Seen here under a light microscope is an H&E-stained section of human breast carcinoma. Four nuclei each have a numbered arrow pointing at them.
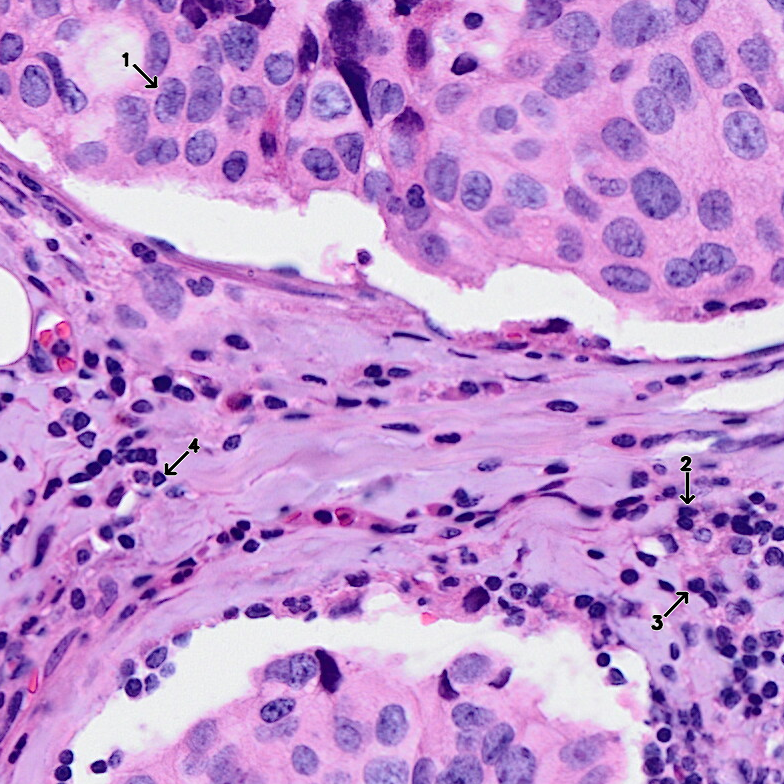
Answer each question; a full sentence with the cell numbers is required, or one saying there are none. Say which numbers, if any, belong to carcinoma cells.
Only the cell carrying number 1 is a carcinoma cell.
